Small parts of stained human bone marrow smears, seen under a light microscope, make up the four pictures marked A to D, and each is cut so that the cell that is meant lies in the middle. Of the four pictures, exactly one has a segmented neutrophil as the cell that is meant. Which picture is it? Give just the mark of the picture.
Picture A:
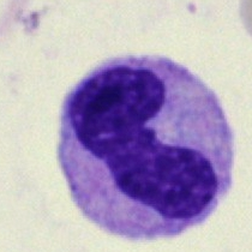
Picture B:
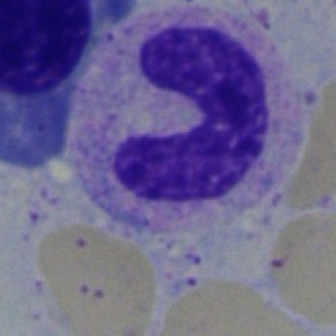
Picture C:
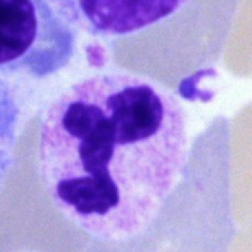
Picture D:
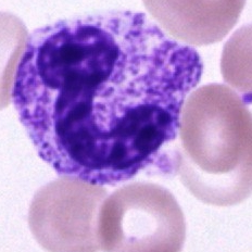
C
